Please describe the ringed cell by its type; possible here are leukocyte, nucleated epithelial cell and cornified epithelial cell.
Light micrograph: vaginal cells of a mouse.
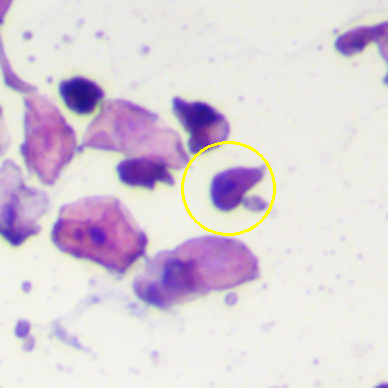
The yellow ring marks a nucleated epithelial cell.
